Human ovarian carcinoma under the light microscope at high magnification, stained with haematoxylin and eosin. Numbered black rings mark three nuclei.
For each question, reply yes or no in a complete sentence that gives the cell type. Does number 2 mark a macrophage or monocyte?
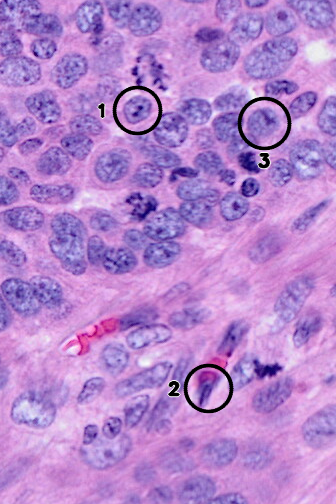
No, the cell referred to as 2 is an endothelial cell, not a macrophage or monocyte.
